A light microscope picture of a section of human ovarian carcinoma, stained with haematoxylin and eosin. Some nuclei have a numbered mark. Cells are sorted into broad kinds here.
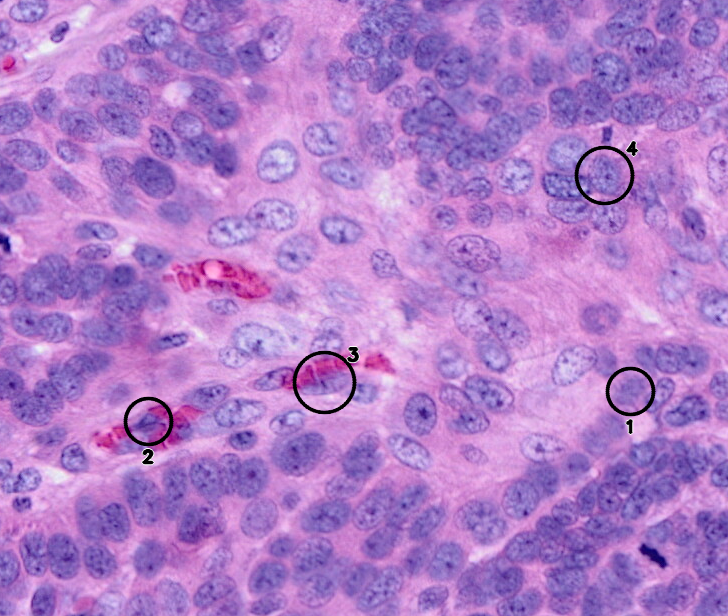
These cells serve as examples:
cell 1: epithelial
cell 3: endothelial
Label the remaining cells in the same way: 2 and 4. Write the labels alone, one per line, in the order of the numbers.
endothelial
epithelial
